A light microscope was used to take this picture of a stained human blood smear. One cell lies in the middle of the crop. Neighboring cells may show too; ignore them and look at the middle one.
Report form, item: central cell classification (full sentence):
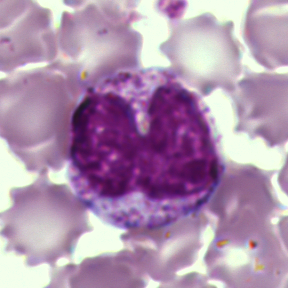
The central cell shown in this smear crop is a band neutrophil.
